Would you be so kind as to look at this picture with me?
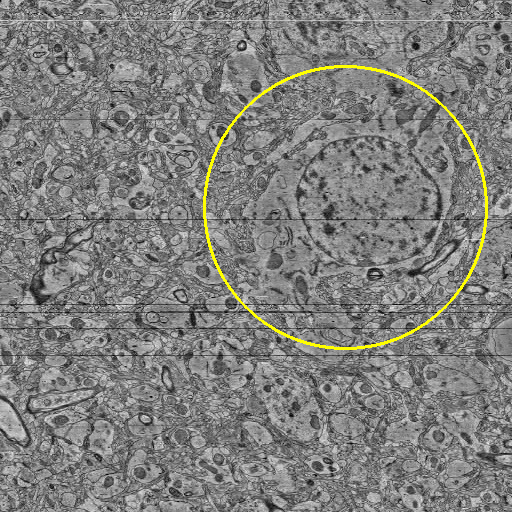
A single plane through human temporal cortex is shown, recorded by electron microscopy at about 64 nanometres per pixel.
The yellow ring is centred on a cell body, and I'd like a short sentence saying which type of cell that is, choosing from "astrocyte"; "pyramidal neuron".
The cell body in the ring belongs to an astrocyte.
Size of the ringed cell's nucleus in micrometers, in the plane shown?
In this plane, approximately 9 micrometres across.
